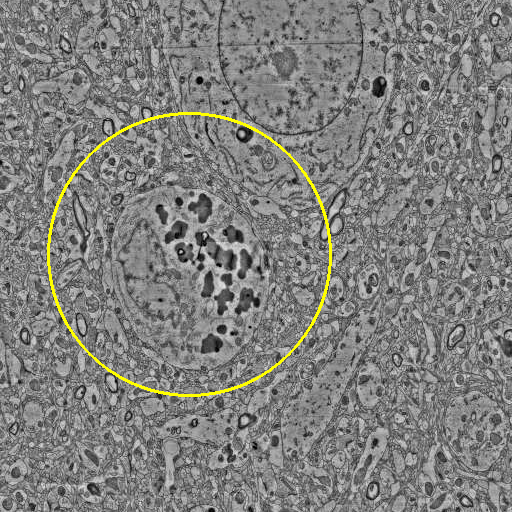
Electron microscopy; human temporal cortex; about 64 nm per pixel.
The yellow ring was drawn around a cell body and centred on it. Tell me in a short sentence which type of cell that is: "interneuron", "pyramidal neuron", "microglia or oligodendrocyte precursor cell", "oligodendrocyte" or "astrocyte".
The cell at the ring's centre is an interneuron.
